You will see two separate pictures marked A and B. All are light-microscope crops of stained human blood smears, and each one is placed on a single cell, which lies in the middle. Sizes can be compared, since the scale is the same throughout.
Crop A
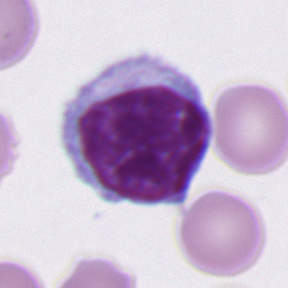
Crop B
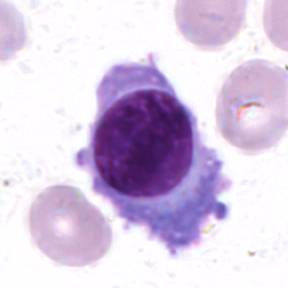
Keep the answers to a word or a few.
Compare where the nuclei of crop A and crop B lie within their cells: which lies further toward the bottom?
A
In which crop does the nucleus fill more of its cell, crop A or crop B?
A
